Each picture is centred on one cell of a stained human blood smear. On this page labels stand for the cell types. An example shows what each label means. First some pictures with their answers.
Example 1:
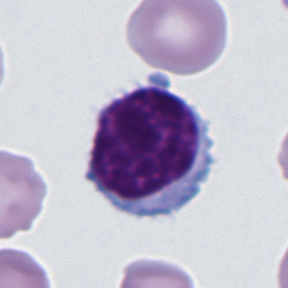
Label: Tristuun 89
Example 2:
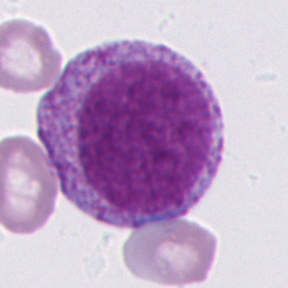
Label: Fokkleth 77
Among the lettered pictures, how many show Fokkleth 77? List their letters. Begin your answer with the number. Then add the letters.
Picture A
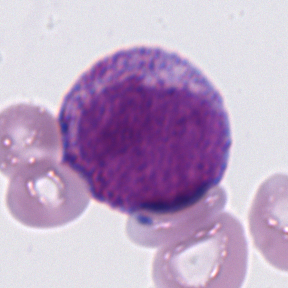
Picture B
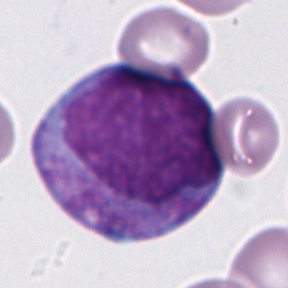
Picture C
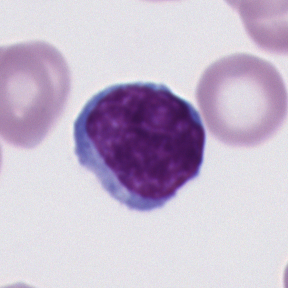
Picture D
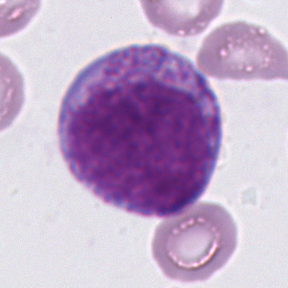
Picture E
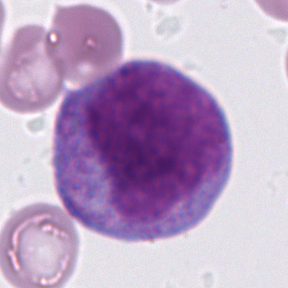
4: A, B, D, E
